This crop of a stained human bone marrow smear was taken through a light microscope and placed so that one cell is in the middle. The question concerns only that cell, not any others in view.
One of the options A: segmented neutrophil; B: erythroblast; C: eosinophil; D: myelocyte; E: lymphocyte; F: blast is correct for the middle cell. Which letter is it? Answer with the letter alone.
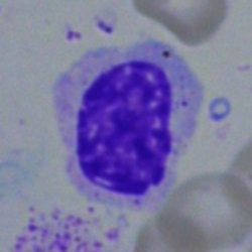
D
